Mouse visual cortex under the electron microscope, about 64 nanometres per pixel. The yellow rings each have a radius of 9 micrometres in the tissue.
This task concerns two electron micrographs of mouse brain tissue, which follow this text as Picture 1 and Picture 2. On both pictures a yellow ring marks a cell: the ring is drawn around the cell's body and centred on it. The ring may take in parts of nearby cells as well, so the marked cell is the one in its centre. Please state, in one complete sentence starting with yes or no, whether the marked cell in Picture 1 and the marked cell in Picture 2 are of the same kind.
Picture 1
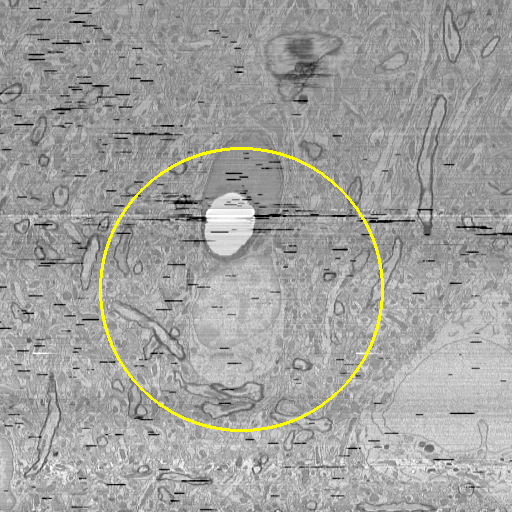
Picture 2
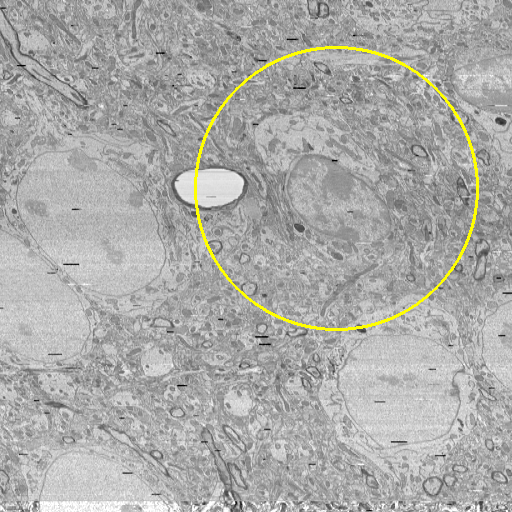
Yes, the marked cells in both pictures are of the same kind.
